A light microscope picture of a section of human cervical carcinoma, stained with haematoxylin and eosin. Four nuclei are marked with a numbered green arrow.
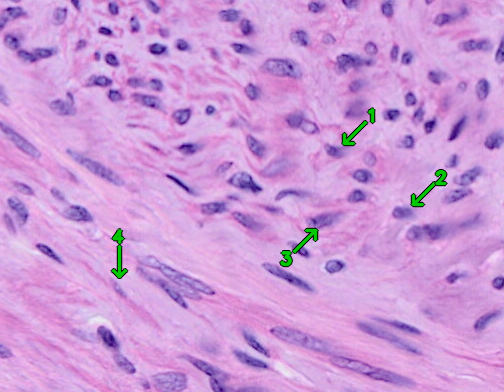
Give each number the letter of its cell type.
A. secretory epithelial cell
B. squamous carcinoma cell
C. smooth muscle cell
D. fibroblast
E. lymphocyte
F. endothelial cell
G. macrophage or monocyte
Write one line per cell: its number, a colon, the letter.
1: C
2: D
3: C
4: C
